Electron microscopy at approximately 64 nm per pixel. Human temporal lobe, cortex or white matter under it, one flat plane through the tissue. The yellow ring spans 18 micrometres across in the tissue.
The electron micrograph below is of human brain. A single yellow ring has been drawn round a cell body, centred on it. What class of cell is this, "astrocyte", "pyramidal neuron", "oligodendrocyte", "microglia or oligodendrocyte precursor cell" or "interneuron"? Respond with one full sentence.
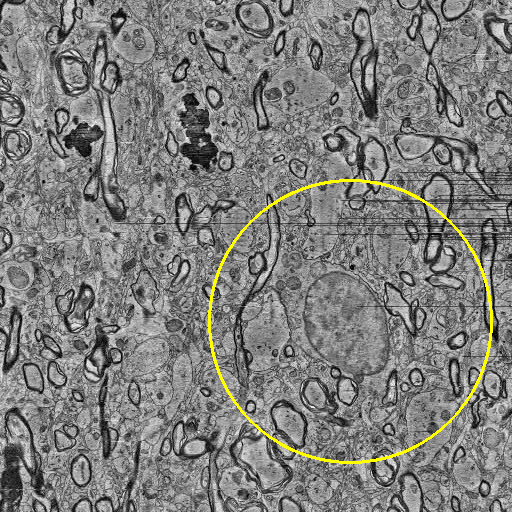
In the micrograph, the cell centred inside the yellow ring is an oligodendrocyte.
